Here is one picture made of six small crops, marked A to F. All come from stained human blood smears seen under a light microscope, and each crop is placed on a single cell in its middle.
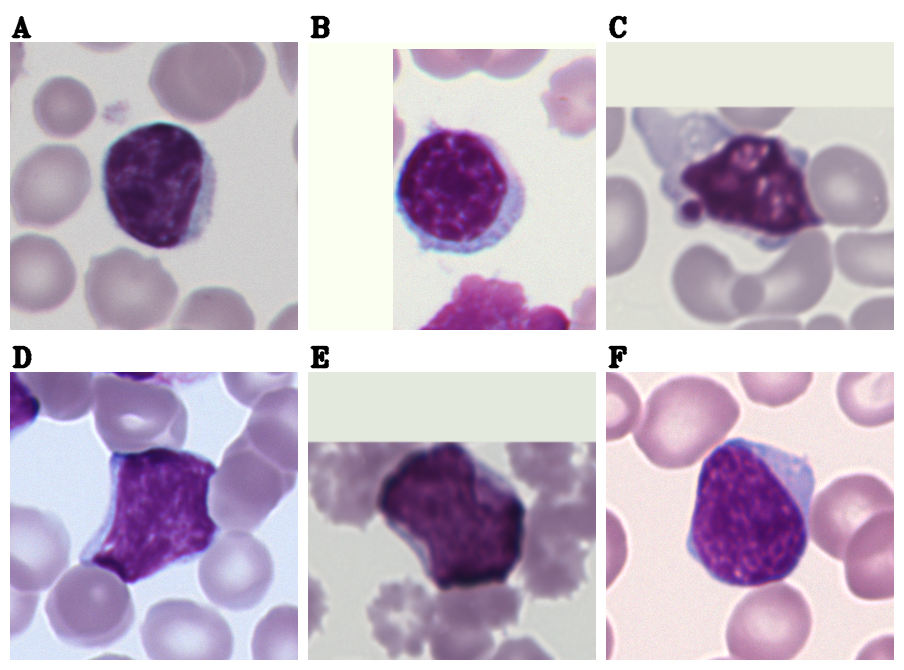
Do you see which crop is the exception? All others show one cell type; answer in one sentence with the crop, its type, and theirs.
Found in all crops but one are typical lymphocytes; the exception, crop E, contains a myeloblast.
